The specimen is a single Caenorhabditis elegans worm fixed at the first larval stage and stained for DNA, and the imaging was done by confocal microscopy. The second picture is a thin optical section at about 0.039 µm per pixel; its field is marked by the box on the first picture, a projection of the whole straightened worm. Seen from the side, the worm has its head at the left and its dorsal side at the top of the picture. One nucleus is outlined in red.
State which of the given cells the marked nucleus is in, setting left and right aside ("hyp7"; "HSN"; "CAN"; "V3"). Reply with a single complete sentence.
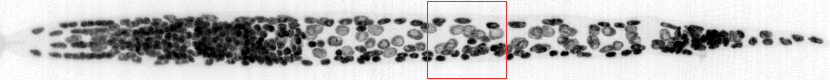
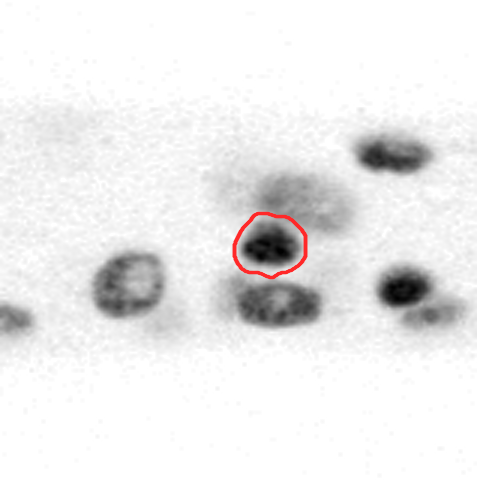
It belongs to CAN, a neuron.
